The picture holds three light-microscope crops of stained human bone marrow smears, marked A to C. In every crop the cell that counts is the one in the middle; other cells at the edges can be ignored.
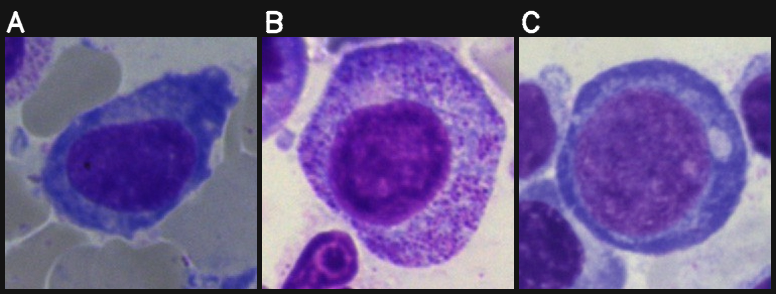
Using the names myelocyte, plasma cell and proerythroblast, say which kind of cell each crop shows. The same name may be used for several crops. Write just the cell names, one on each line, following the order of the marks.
plasma cell
myelocyte
proerythroblast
